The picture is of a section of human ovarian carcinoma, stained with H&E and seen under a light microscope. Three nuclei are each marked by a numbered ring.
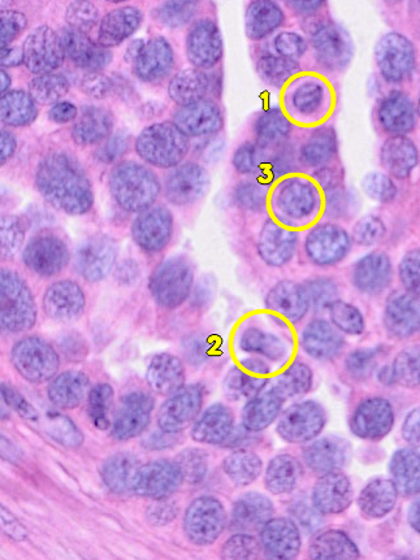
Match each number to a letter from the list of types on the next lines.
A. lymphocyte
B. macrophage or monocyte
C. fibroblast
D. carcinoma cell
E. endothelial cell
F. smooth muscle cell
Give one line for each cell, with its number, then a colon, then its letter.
1: B
2: B
3: D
